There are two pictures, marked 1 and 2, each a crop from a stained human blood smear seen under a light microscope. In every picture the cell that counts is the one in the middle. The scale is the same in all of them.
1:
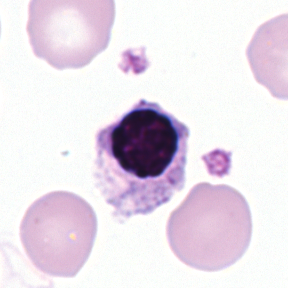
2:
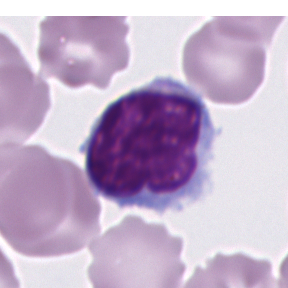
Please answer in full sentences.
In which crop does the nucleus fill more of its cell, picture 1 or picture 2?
Of the two, the nucleus in picture 2 makes up the greater part of its cell.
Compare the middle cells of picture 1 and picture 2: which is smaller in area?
It is the cell in picture 1; the cell in picture 2 has about 1.5 times its area.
